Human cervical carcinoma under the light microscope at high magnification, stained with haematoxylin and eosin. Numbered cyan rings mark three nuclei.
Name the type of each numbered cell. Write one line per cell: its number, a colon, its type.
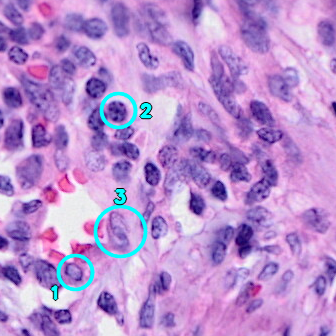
1: endothelial cell
2: lymphocyte
3: endothelial cell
